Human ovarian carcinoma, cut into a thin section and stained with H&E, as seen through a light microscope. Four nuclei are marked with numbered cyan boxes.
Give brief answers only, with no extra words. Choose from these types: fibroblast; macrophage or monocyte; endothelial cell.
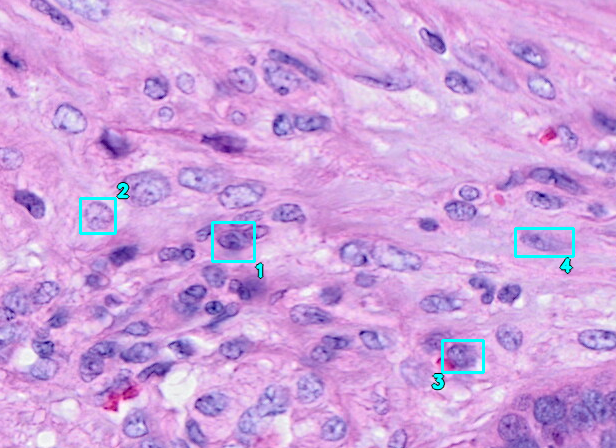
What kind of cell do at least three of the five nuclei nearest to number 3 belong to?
fibroblast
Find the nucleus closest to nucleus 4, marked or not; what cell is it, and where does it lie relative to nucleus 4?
a macrophage or monocyte, above nucleus 4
